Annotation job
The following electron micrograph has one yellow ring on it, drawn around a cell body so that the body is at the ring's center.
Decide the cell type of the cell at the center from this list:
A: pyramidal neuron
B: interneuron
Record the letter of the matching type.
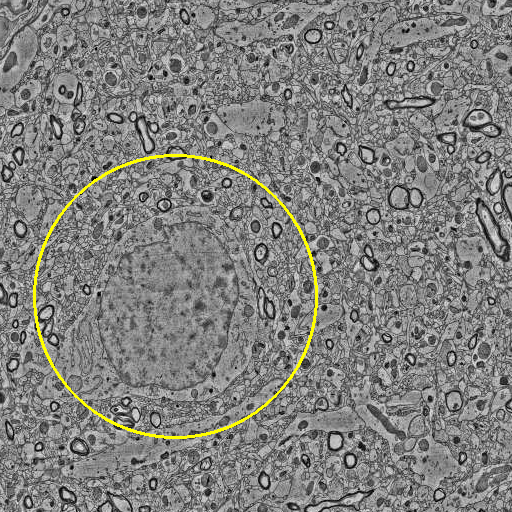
B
